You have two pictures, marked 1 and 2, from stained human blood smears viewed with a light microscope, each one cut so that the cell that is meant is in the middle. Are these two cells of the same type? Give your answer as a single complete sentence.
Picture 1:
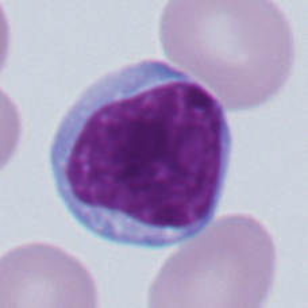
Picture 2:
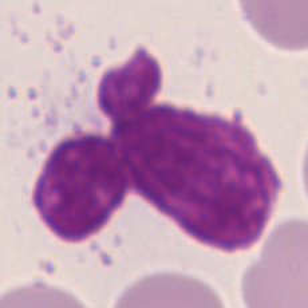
No. Picture 1 shows a typical lymphocyte, but picture 2 shows a smudge cell.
